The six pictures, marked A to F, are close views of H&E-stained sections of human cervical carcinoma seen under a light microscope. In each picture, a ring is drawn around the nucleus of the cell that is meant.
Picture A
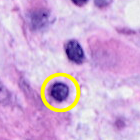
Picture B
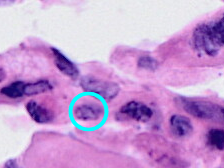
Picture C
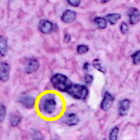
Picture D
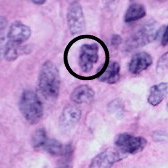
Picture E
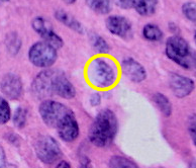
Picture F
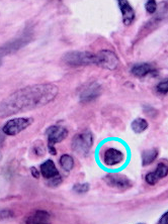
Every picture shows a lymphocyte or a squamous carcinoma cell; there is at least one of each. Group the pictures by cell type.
A: lymphocyte
B: squamous carcinoma cell
C: lymphocyte
D: lymphocyte
E: squamous carcinoma cell
F: lymphocyte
